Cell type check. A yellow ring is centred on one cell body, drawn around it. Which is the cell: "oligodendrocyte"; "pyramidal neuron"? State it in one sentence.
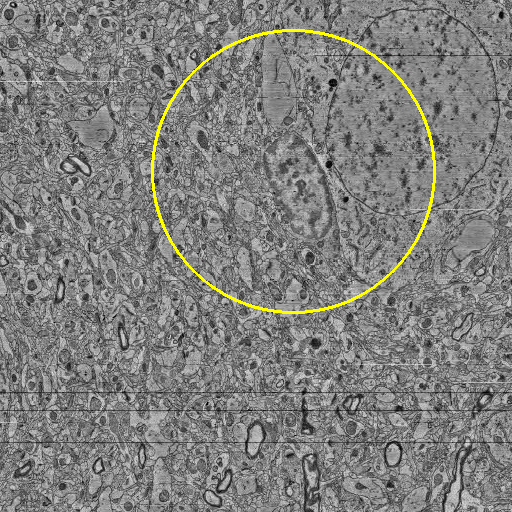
The cell body at the ring's centre belongs to an oligodendrocyte.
